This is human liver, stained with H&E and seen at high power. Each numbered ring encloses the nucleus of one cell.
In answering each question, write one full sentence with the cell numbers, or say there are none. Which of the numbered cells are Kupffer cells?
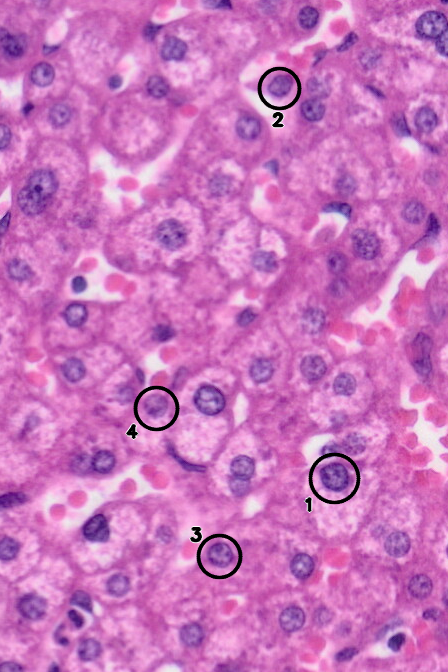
Only the cell with number 2 is a Kupffer cell.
